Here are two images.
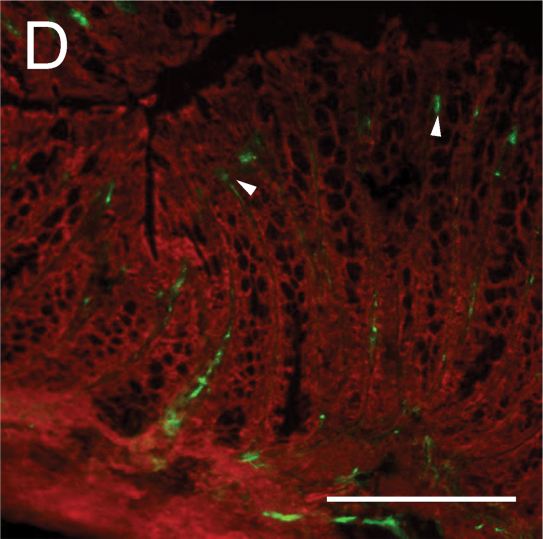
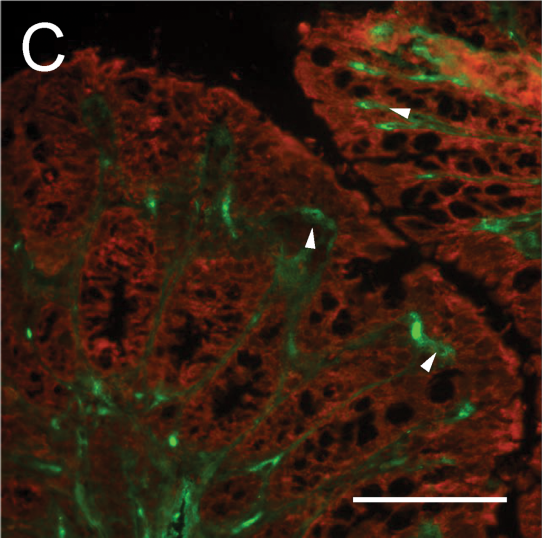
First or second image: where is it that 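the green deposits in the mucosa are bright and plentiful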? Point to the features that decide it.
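The second image. Second image: many bright green streaks and spots line the crypts and the surface.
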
